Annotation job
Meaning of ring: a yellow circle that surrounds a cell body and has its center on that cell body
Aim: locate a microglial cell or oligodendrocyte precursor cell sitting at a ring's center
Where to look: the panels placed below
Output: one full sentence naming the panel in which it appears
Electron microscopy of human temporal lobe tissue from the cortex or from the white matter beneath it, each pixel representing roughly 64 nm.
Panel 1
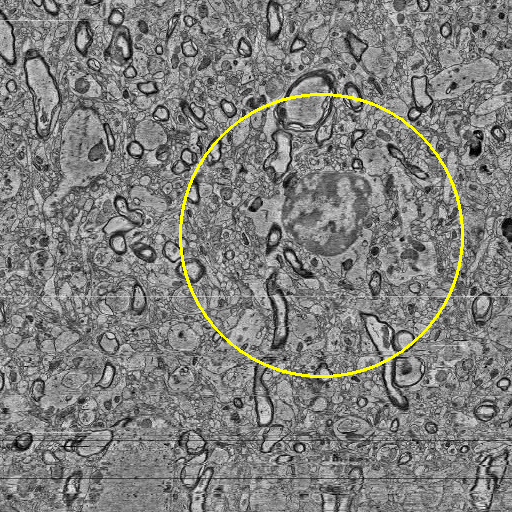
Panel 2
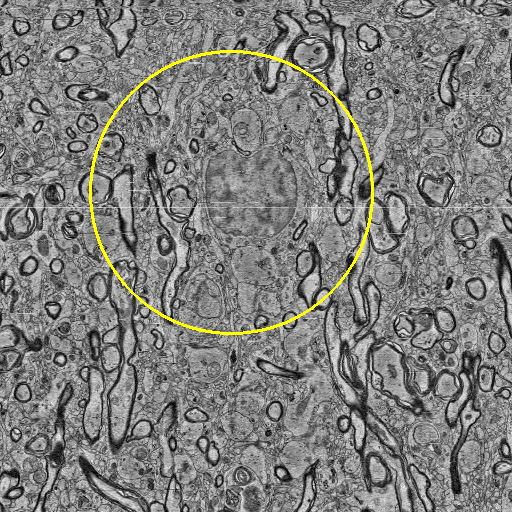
The cell at the center of the ring in panel 1 is the one sought.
